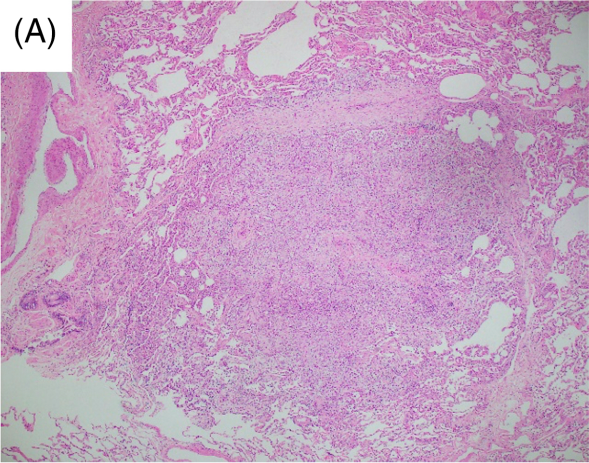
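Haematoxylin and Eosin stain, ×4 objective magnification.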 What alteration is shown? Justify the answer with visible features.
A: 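A dense, rounded, cellular mass sits in the centre of the field. Thin-walled air spaces surround the mass on all sides. So: nodule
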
